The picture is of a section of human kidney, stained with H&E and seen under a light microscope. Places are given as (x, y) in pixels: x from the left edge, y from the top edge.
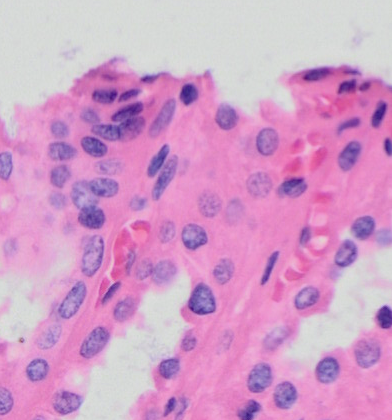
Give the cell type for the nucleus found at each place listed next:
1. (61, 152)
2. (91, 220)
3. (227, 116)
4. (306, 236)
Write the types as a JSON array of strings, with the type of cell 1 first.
["collecting duct cell", "collecting duct cell", "loop of Henle or distal tubule cell", "endothelial cell"]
